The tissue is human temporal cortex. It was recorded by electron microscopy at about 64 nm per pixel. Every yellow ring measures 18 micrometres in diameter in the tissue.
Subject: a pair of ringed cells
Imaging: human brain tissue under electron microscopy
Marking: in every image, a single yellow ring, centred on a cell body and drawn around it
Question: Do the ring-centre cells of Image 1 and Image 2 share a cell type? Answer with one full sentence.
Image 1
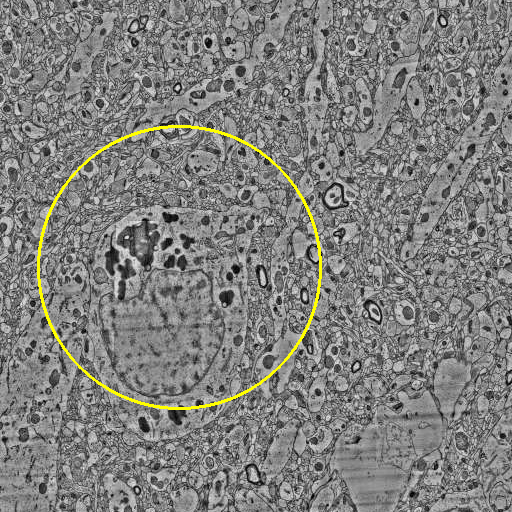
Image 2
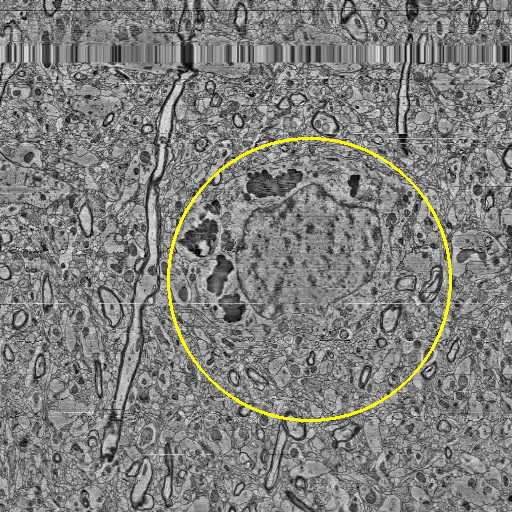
Yes, at each ring's centre in the images sits a cell of one common type.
